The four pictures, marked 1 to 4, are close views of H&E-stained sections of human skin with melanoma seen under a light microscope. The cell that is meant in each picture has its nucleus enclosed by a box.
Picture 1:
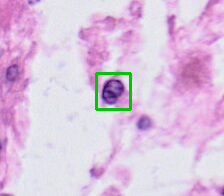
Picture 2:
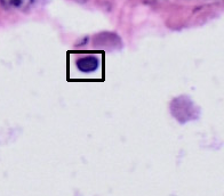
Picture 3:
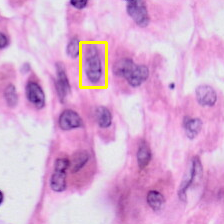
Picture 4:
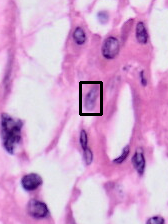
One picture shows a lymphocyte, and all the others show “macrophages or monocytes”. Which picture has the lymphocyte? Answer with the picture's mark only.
2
